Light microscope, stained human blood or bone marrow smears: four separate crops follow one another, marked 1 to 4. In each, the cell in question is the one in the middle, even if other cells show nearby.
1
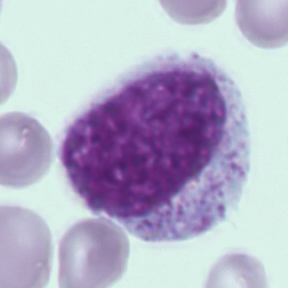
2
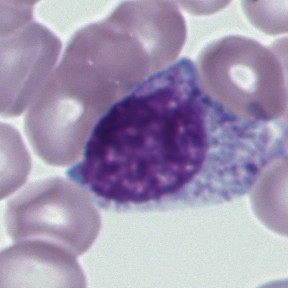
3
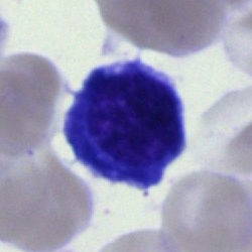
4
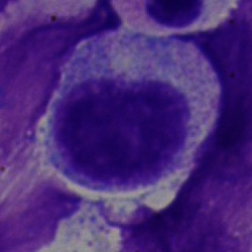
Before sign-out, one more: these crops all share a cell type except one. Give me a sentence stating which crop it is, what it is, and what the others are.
Among the crops, crop 3 is unique in showing a plasma cell; the others show myelocytes.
